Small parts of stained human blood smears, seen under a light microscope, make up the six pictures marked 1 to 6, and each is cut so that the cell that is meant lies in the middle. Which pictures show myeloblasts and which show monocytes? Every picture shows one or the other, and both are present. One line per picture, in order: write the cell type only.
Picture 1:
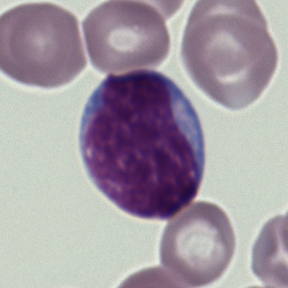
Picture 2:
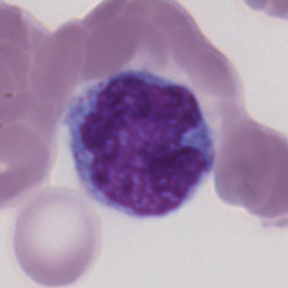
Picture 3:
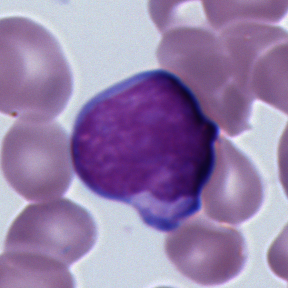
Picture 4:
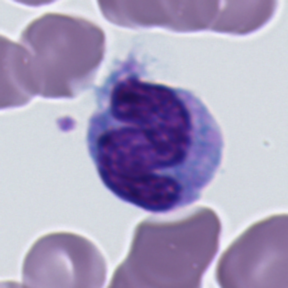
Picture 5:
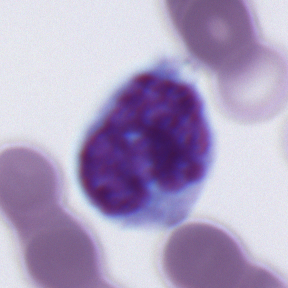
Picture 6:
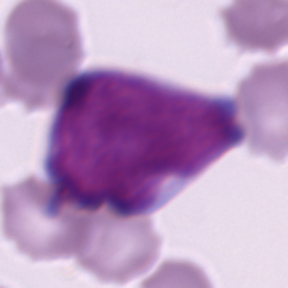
myeloblast
monocyte
myeloblast
monocyte
monocyte
myeloblast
